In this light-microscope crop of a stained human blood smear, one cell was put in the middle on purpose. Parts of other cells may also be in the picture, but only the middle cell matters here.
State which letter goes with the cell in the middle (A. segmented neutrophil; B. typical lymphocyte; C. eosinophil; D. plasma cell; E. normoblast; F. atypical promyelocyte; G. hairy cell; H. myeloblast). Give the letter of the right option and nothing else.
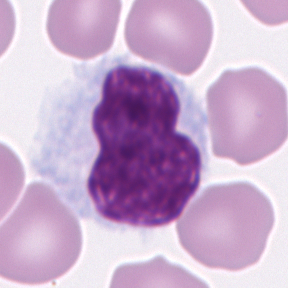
G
